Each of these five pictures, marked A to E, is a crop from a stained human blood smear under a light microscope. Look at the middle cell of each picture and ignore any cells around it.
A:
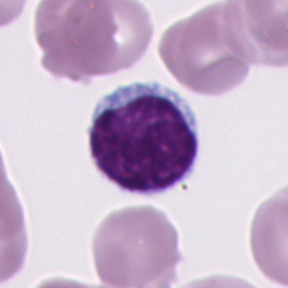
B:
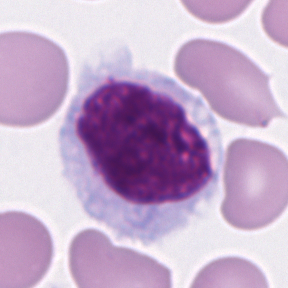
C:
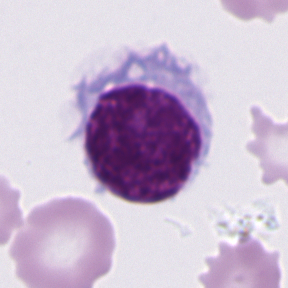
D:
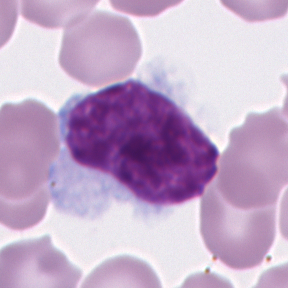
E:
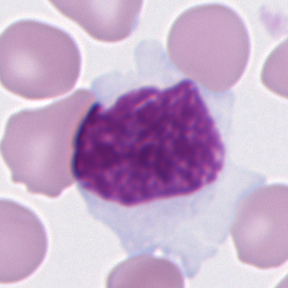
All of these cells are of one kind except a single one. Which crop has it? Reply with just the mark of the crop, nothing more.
A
